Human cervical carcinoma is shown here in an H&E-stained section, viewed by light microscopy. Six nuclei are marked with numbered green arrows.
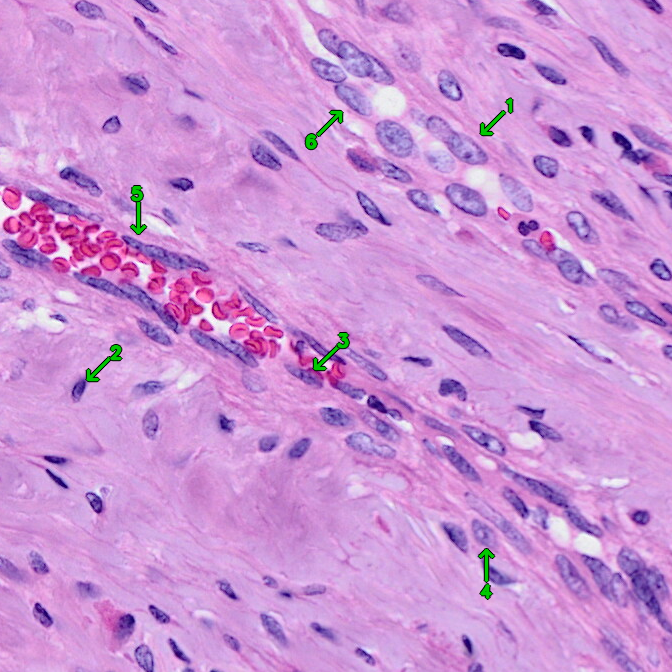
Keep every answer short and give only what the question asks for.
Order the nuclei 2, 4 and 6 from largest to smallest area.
6, 4, 2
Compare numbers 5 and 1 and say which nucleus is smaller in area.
5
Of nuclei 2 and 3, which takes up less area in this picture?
2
